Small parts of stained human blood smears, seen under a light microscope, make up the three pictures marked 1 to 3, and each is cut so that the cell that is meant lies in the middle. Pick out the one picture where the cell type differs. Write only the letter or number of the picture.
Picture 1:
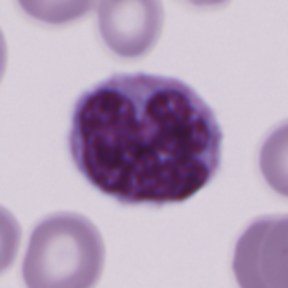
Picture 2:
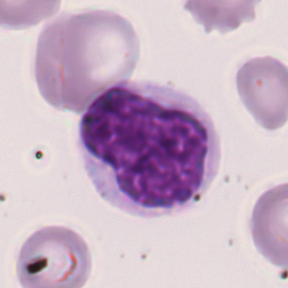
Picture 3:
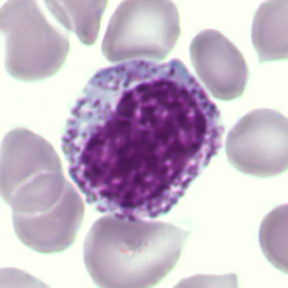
1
